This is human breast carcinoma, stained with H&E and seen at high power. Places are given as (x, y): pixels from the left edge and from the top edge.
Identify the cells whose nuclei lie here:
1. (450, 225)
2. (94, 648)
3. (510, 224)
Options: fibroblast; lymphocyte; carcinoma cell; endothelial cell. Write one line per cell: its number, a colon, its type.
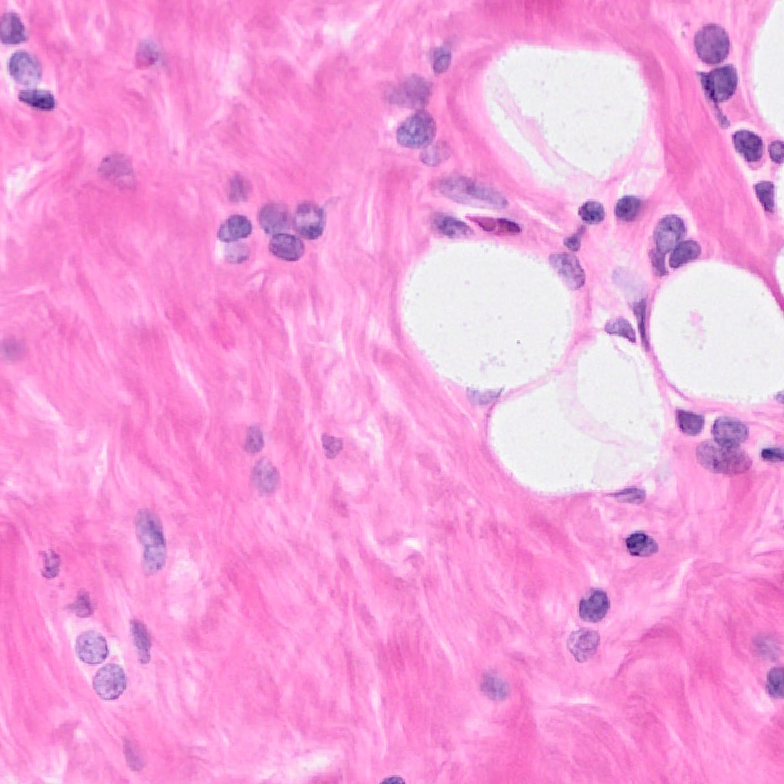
1: endothelial cell
2: carcinoma cell
3: endothelial cell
